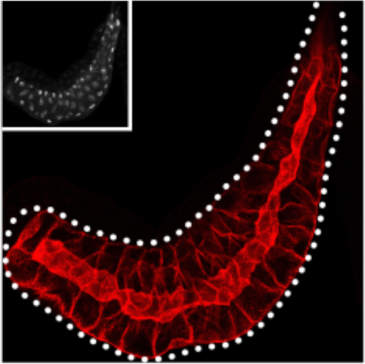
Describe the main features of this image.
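This is a larval salivary gland, a tube made of a single layer of large polygonal secretory cells whose borders are outlined in red. The cell outlines form a regular network along the length of the gland, and a brighter red band runs along the centre of the tube where the cells line the lumen.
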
